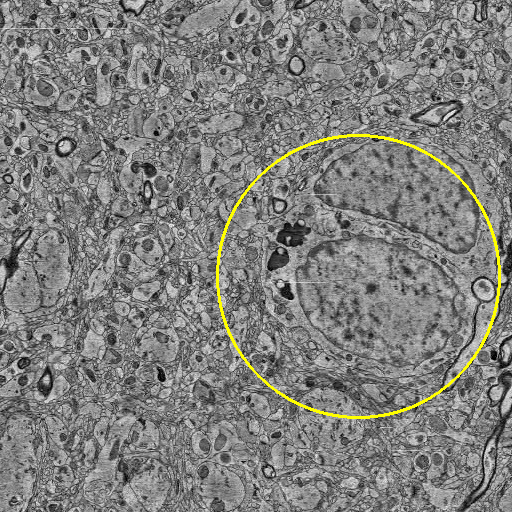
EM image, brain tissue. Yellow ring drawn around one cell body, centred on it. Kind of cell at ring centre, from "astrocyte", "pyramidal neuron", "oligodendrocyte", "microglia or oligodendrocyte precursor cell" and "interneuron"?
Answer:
interneuron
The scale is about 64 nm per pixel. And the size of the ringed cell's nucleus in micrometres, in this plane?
Roughly 11 micrometres by 8 micrometres, in this plane.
